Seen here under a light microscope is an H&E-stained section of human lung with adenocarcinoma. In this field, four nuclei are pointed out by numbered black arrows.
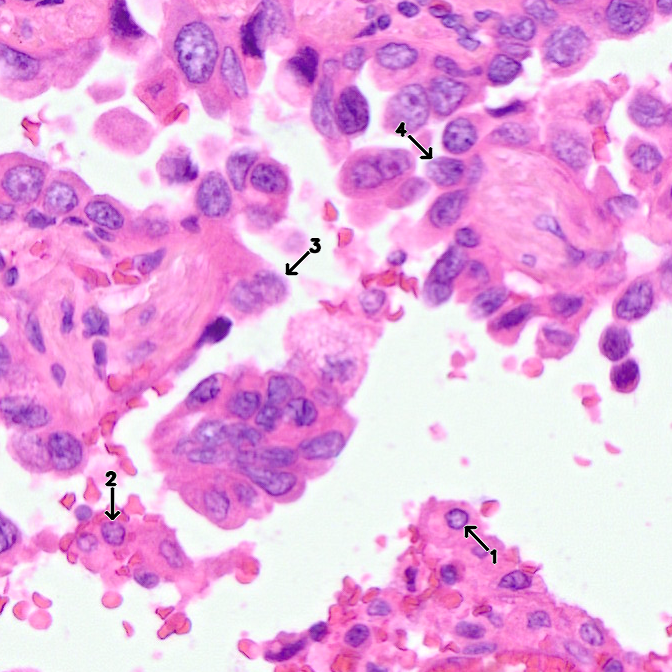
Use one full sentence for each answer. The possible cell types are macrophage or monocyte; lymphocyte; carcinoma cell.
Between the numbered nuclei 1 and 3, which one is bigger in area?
Of the two, number 3 is bigger and takes up about 2 times the area of number 1.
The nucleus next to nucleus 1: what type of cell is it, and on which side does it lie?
Just below and to the right of nucleus 1 lies the nearest nucleus, which belongs to a macrophage or monocyte.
